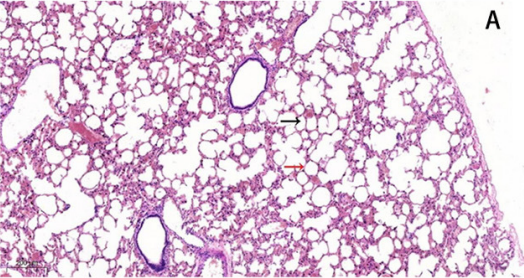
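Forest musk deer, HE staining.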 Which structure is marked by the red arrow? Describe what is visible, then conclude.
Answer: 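Alveolar wall. Thin pink septa separate many clear round air spaces. The arrow ends on one of these thin septa.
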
